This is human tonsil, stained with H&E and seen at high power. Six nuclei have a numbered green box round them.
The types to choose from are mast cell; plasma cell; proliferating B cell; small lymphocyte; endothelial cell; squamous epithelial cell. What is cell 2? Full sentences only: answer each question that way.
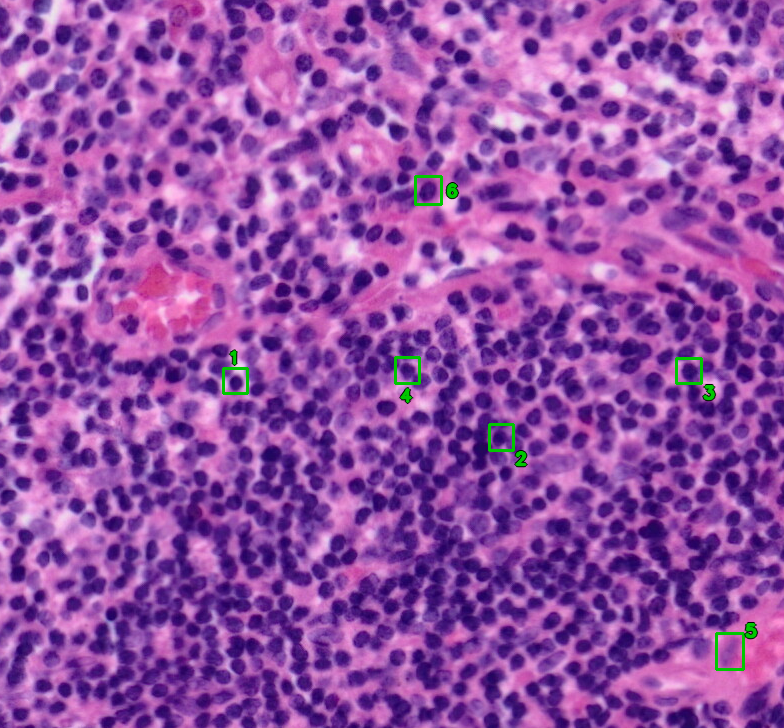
At number 2, the marked cell is a small lymphocyte.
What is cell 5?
Cell 5 in the field is an endothelial cell.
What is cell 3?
The nucleus labeled 3 belongs to a small lymphocyte.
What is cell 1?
Identified by the number 1, the cell is a small lymphocyte.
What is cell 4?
The numbered cell 4 in this field is a small lymphocyte.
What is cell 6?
The marked cell bearing number 6 is a plasma cell.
